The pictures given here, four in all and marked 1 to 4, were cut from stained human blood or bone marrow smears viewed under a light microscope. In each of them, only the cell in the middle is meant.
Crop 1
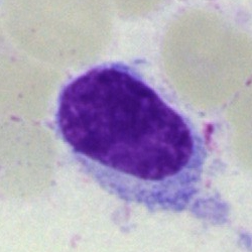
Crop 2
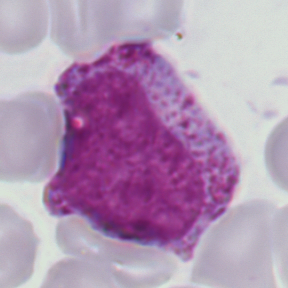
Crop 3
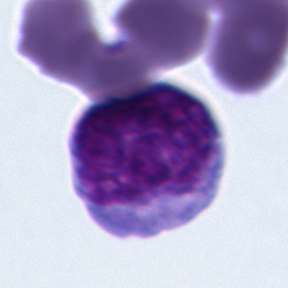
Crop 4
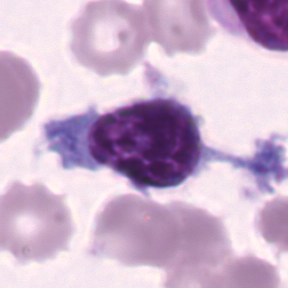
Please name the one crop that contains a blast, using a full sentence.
Crop 3, and no other, shows a blast.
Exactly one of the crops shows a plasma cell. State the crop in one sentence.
The one crop that shows a plasma cell is crop 4.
